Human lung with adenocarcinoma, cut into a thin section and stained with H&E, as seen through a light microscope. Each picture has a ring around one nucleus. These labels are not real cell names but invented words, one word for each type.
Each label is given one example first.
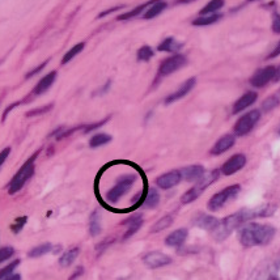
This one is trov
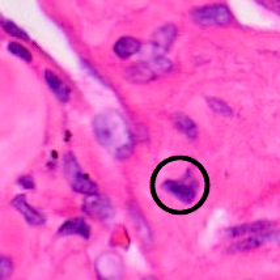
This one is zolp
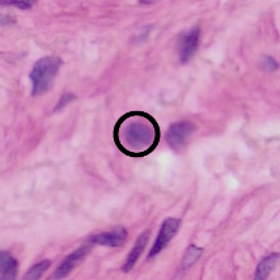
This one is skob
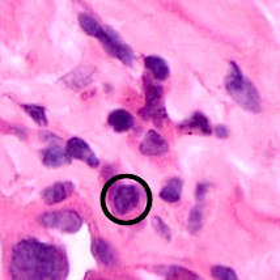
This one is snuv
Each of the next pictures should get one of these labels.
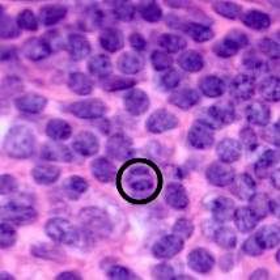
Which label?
trov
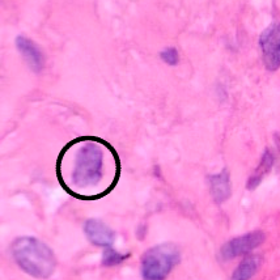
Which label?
zolp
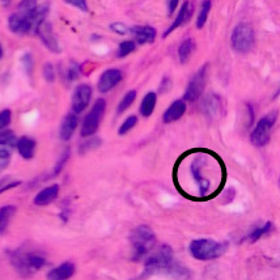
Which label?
zolp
